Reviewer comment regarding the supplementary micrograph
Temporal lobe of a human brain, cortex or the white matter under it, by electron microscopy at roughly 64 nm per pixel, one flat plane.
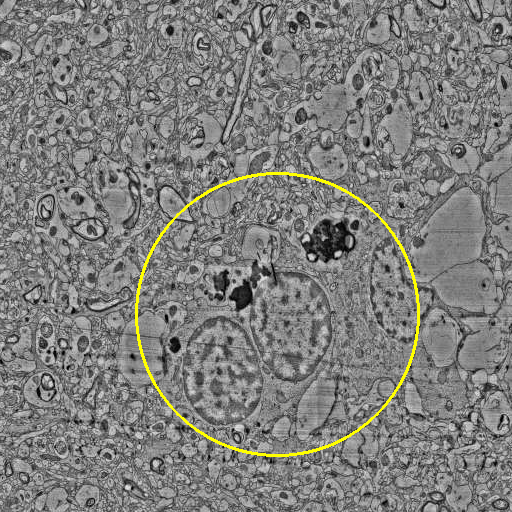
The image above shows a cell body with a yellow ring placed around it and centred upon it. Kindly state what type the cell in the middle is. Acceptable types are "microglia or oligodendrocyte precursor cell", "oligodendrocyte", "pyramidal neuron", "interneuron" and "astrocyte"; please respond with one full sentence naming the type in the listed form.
In the image above, the cell on which the yellow ring is centred is an oligodendrocyte.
